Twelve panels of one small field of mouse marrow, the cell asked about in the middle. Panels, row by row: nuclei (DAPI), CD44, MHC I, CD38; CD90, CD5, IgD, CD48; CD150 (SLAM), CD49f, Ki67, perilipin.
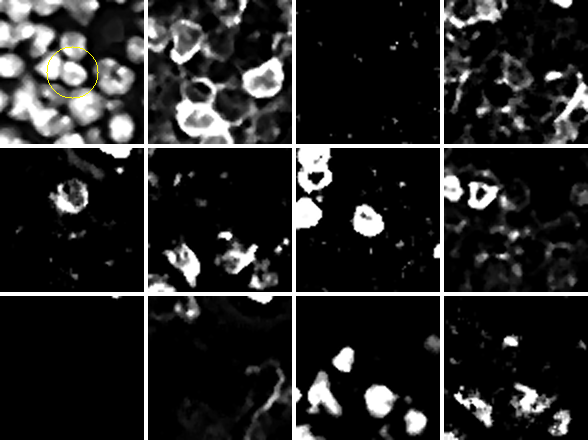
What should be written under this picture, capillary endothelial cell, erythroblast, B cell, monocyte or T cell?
B cell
